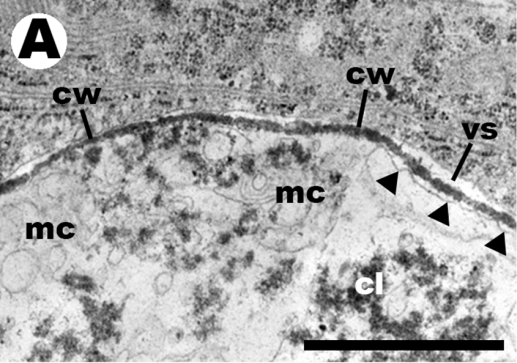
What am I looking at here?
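Inside, a pale matrix holds many dark granular clumps and irregular, partly concentric membrane vesicles. In places a thin line separates from the wall, leaving a narrow gap.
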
